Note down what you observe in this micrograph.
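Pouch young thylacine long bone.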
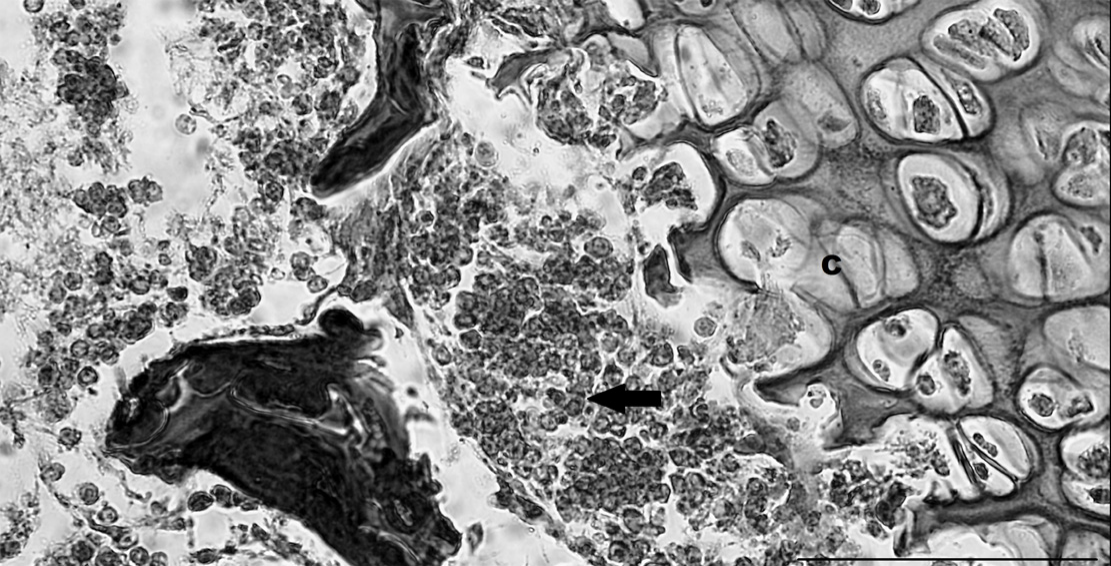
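On the right is cartilage in which large, rounded chondrocytes sit singly or in pairs inside clear lacunae, surrounded by a grey matrix. On the left, the medullary space contains dense clusters of small, round cells with dark nuclei, packed together as islands of haematopoiesis. Irregular, very darkly stained pieces of matrix lie among these cell clusters.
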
